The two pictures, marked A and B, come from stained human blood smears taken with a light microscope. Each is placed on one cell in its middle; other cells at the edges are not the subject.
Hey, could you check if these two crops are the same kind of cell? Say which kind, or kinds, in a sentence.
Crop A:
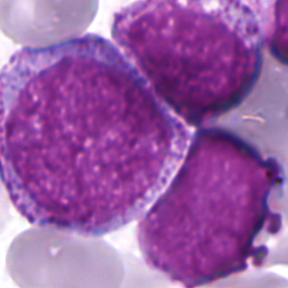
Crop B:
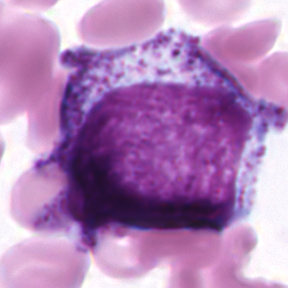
Yes, shown in both crops are promyelocytes.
